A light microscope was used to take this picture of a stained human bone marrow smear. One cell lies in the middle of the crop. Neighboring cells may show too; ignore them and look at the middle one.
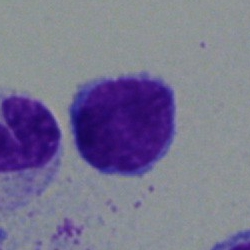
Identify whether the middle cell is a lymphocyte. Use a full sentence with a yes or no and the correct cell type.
Yes, the cell in the center of this crop is a lymphocyte.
